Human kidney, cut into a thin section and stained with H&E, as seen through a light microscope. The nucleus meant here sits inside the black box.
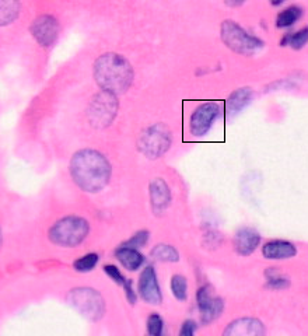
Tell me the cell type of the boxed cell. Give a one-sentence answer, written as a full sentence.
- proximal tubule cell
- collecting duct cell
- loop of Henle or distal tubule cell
Cytologically, the boxed cell is to be regarded as a loop of Henle or distal tubule cell.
